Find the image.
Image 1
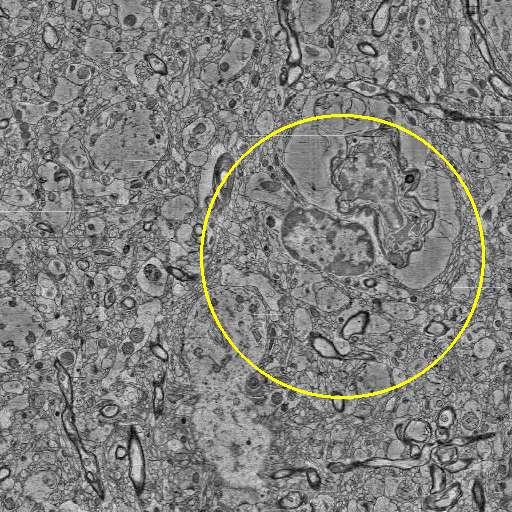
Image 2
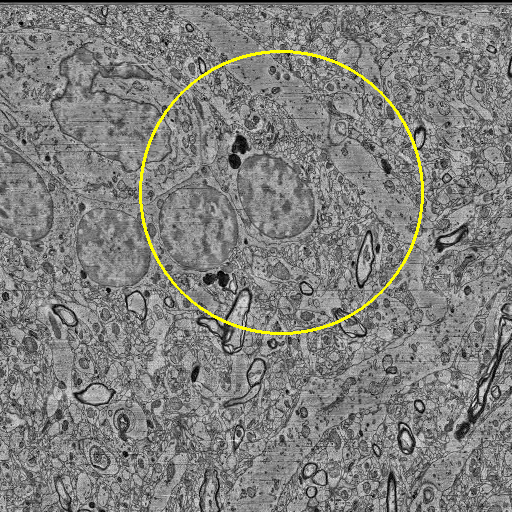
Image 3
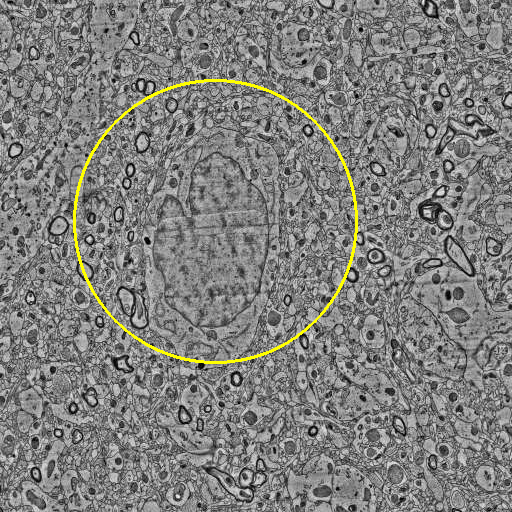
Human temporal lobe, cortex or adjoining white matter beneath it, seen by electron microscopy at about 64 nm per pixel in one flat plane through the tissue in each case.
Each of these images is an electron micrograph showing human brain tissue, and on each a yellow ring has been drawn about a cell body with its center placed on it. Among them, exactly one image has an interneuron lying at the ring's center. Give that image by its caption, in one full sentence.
The ring in Image 3 is centered on the cell the question describes.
